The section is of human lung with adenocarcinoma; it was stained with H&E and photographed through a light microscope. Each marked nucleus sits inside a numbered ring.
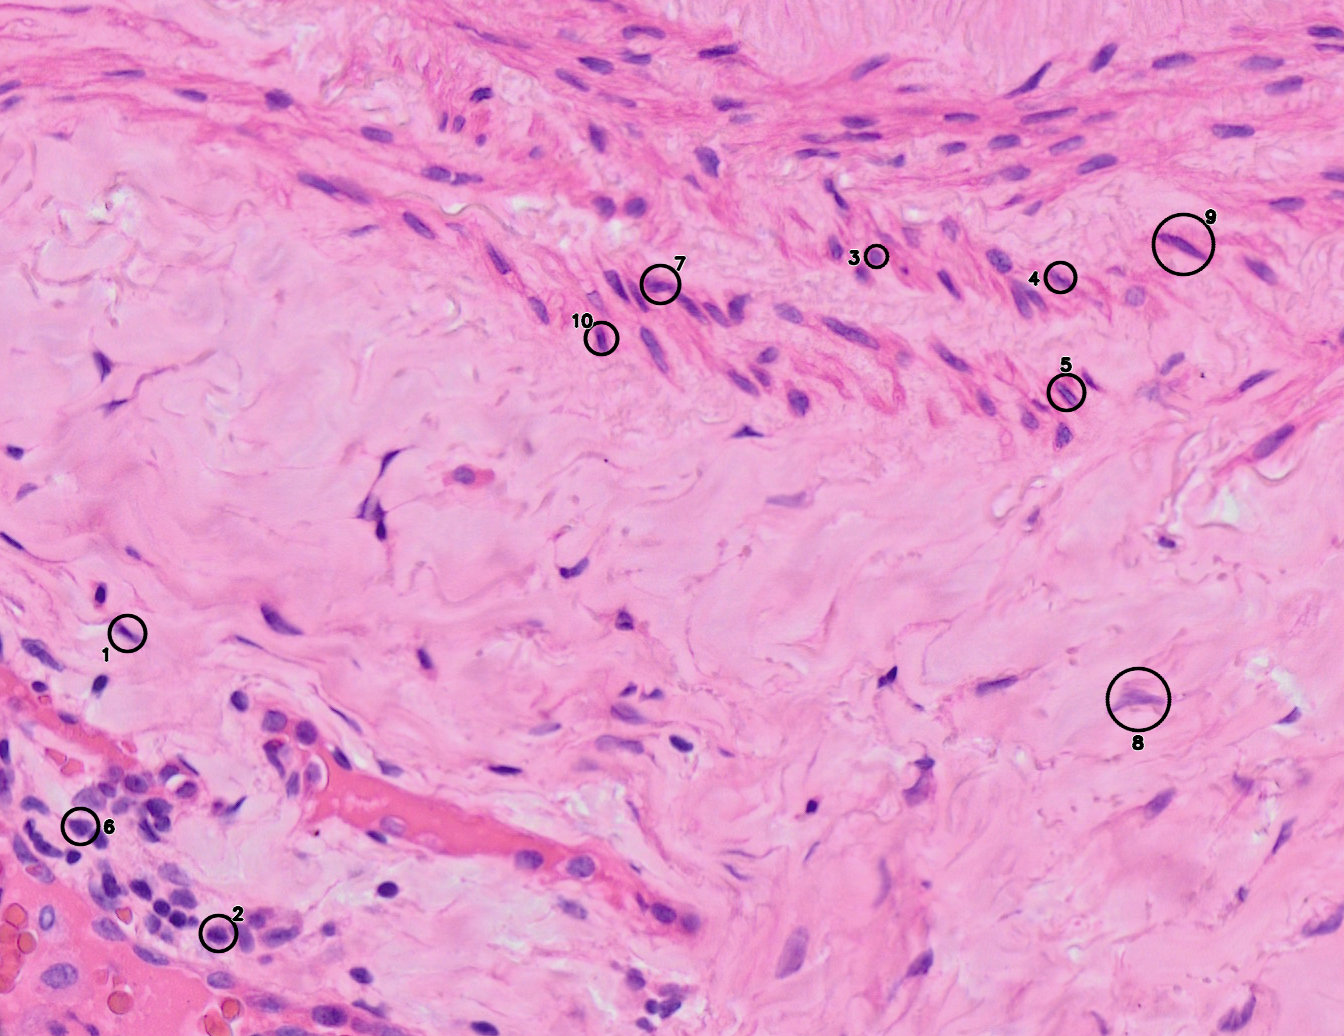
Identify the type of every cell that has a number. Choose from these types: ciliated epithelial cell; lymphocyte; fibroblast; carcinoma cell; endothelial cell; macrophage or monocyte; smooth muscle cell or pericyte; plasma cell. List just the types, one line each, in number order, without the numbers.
fibroblast
lymphocyte
smooth muscle cell or pericyte
smooth muscle cell or pericyte
smooth muscle cell or pericyte
lymphocyte
smooth muscle cell or pericyte
fibroblast
smooth muscle cell or pericyte
smooth muscle cell or pericyte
